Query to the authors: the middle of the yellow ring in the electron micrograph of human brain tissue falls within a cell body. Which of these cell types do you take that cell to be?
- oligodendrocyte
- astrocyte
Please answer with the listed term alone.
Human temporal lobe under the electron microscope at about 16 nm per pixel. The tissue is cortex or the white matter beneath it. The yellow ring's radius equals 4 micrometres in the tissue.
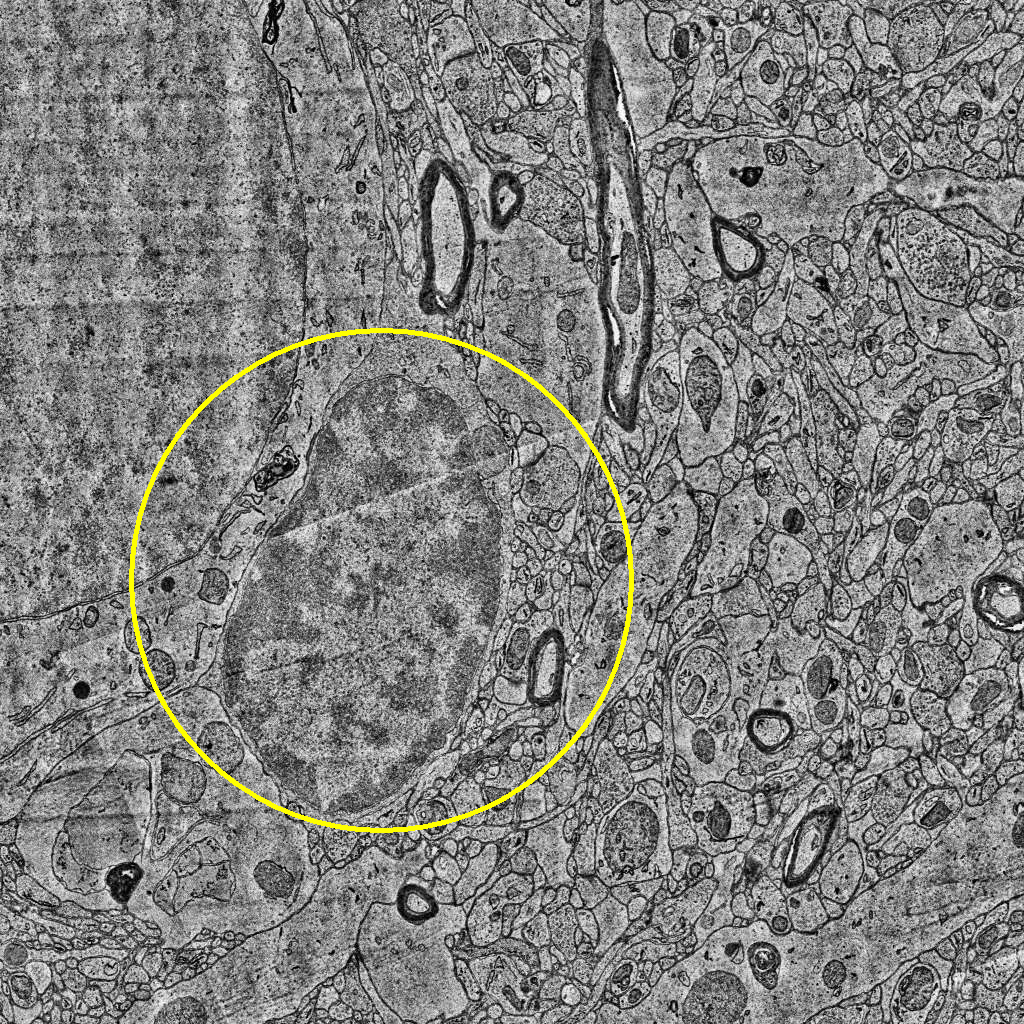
oligodendrocyte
